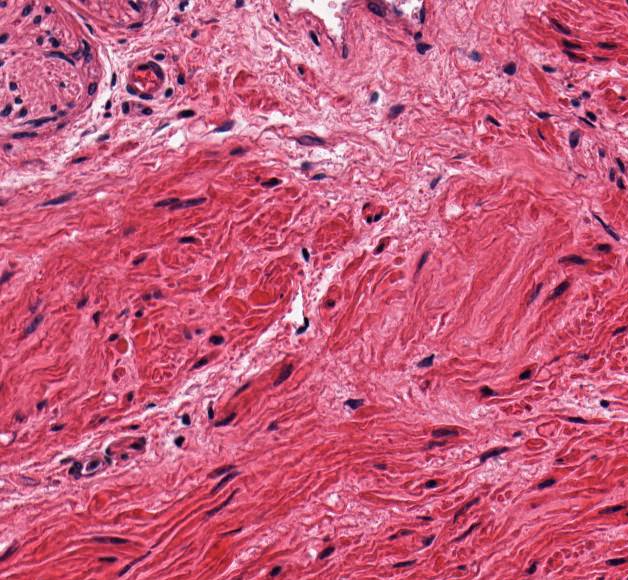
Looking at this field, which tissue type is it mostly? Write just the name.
fibromuscular stroma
